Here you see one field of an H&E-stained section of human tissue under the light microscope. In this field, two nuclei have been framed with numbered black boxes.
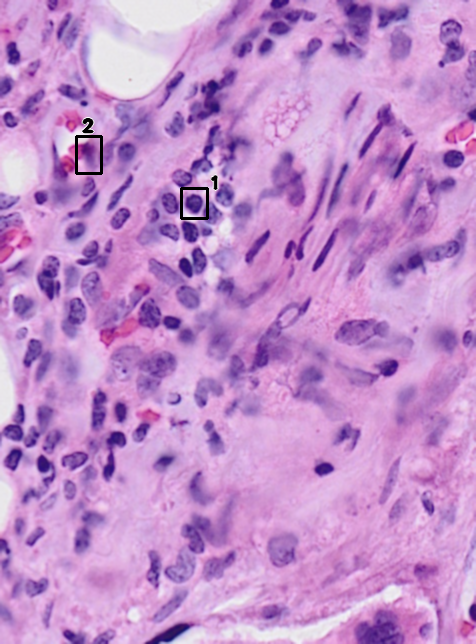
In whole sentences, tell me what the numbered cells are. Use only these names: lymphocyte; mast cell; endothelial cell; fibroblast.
Cell 1 is a lymphocyte. Cell 2 is an endothelial cell.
